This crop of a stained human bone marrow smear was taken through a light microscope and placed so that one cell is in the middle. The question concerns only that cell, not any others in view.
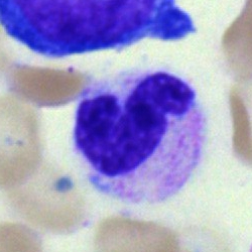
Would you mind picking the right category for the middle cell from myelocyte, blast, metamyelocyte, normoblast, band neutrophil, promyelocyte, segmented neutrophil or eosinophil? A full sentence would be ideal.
The center cell of this crop is a band neutrophil.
